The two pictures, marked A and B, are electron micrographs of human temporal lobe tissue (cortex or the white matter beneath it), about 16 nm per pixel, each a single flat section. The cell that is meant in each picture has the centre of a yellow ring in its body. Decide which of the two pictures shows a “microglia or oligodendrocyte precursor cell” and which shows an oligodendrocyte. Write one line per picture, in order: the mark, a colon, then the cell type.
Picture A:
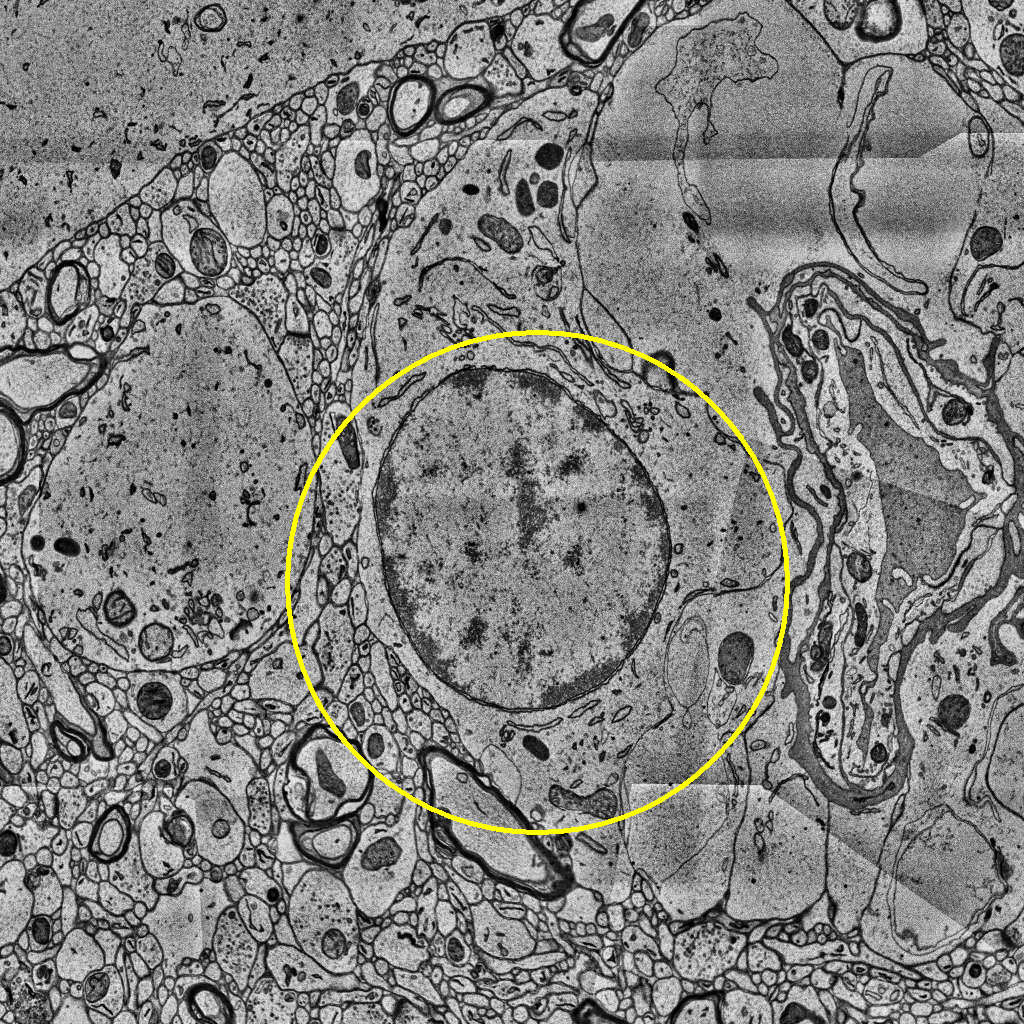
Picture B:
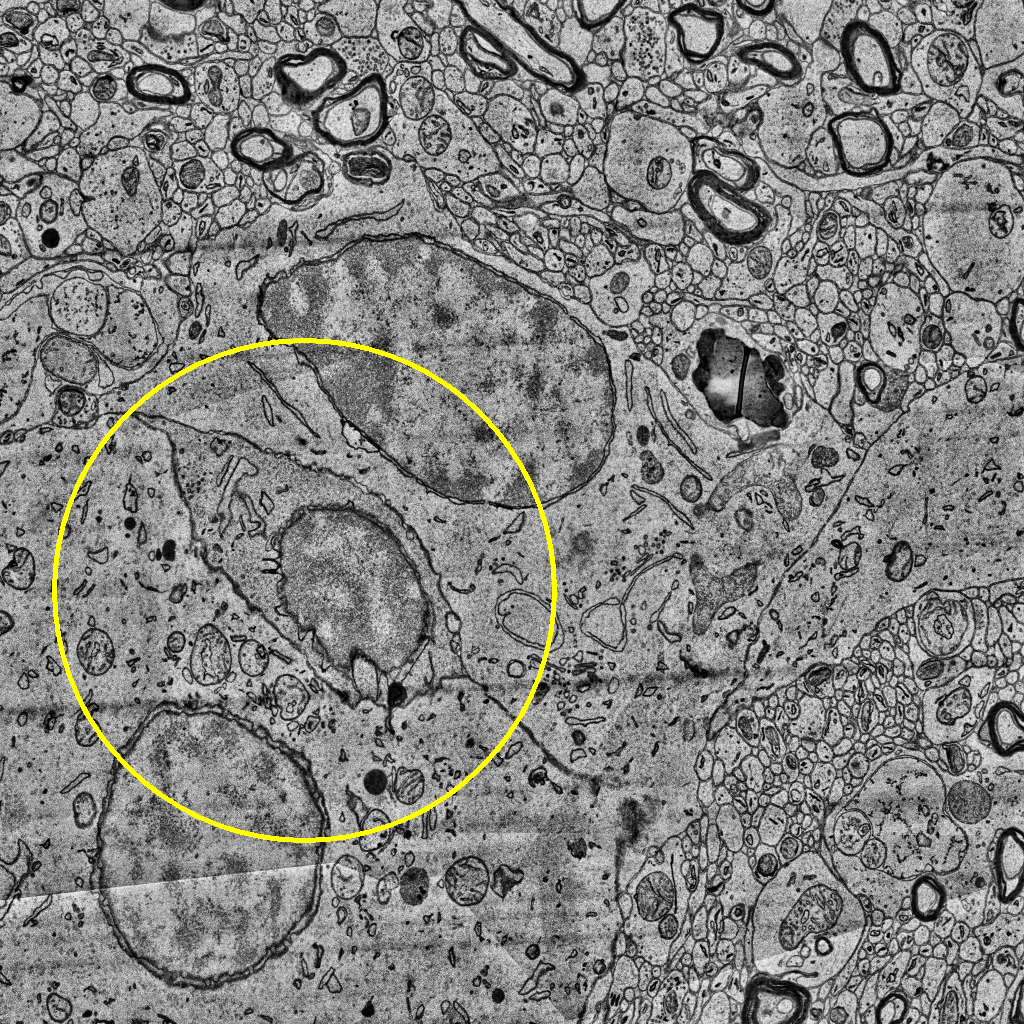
A: microglia or oligodendrocyte precursor cell
B: oligodendrocyte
